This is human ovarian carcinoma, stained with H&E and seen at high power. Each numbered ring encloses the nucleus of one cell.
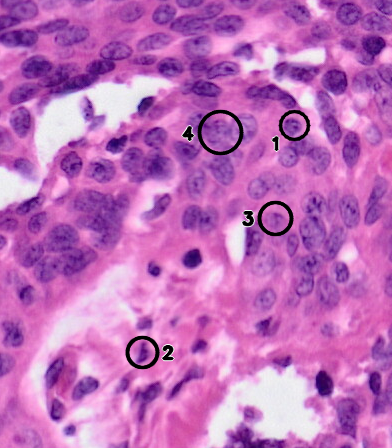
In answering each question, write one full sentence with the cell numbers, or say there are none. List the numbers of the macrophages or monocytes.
Cell 1 is a macrophage or monocyte, and it is the only one.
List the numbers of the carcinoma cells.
The cells tagged with numbers 3 and 4 are carcinoma cells.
